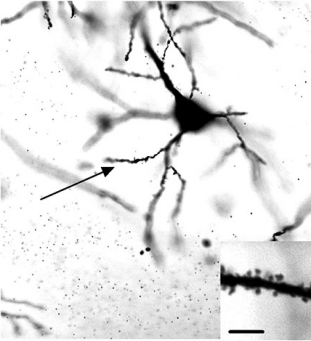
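A black-impregnated neuron with a dense, triangular cell body lies in the upper right part of a pale field. Several dendrites leave the cell body and branch, most running outward from its base, while others lie blurred out of the focal plane. The thin dendrites carry small protrusions, and the inset at the lower right shows a magnified dendrite shaft lined with short spines. Scattered small dark dots lie in the background. The form fits a pyramidal cell whose basal dendritic branches carry the spines.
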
